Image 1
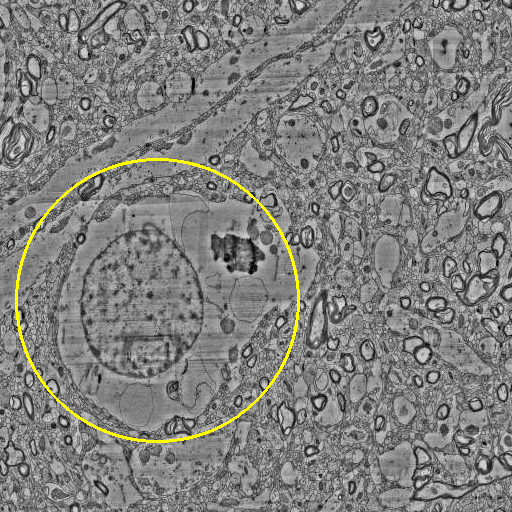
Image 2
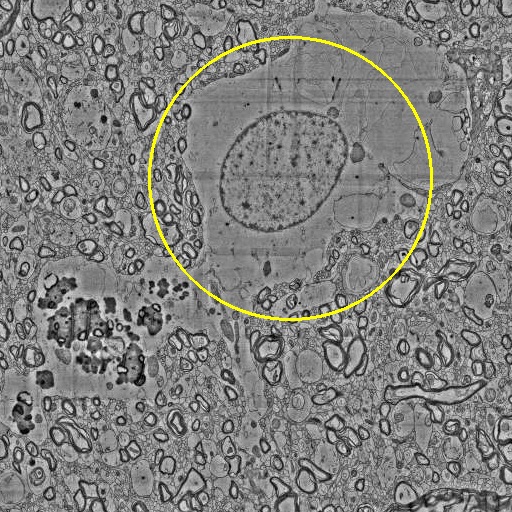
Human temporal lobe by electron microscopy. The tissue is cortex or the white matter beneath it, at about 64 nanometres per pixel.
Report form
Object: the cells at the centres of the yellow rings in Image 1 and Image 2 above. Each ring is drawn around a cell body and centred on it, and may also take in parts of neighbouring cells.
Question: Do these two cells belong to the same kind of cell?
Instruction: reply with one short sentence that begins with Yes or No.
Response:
Yes, both belong to the same kind of cell.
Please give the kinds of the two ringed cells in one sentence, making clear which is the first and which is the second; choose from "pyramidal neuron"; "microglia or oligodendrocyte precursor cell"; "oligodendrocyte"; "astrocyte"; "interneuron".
Both cells are the same kind, each one being an astrocyte.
